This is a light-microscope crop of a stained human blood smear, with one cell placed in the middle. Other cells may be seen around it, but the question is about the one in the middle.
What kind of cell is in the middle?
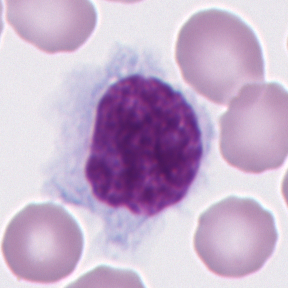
hairy cell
